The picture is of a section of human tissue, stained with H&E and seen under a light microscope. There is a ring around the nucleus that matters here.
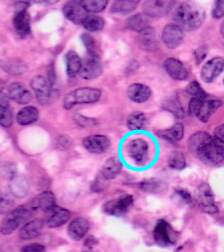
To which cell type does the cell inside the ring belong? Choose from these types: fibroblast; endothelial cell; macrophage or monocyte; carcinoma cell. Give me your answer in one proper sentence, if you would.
The classification of the cell inside the ring is as a macrophage or monocyte.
